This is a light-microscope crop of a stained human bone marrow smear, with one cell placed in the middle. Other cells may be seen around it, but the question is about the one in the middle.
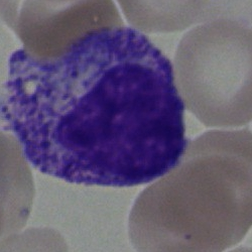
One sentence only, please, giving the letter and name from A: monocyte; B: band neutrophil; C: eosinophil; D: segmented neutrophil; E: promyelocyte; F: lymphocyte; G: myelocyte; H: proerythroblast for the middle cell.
In the centre of the crop there is a myelocyte, making option G correct.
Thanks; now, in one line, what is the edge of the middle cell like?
The edge is uneven, and this unevenness takes the form of ragged stretches or projections.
